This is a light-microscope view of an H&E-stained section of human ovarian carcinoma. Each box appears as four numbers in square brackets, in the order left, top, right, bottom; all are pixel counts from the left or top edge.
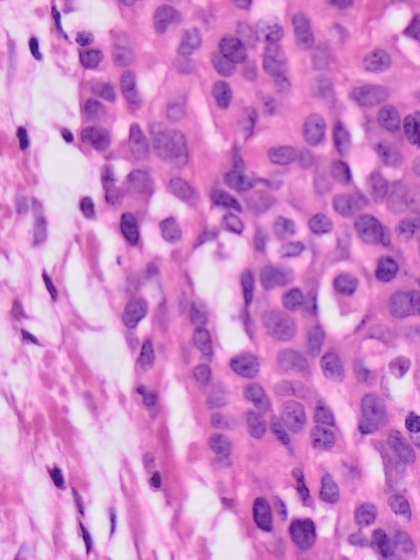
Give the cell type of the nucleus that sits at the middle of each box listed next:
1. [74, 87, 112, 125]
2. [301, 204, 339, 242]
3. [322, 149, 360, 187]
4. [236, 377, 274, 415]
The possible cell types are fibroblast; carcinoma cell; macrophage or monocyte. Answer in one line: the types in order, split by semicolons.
carcinoma cell; macrophage or monocyte; carcinoma cell; carcinoma cell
